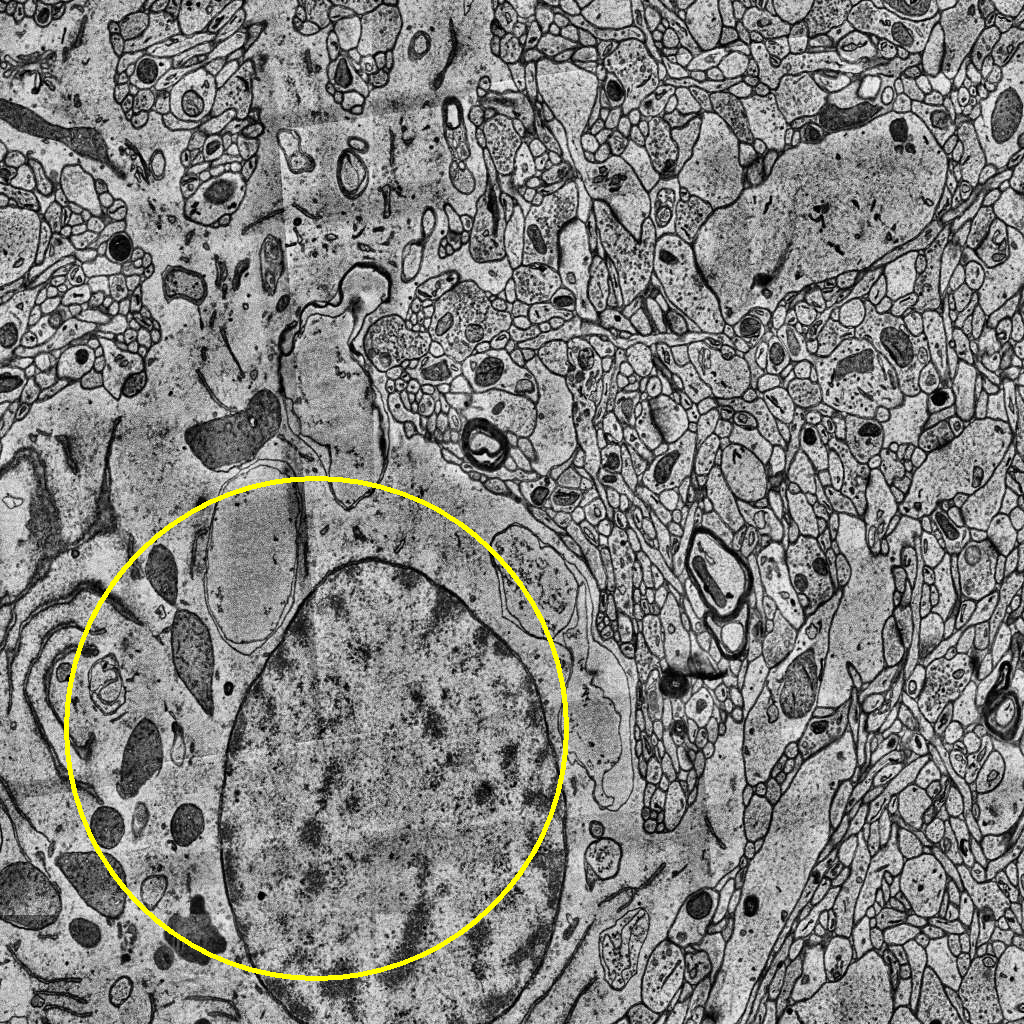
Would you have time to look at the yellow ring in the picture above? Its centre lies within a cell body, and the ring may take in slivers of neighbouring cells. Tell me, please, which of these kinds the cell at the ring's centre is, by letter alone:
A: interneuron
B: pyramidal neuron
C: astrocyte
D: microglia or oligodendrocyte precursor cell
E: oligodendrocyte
C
